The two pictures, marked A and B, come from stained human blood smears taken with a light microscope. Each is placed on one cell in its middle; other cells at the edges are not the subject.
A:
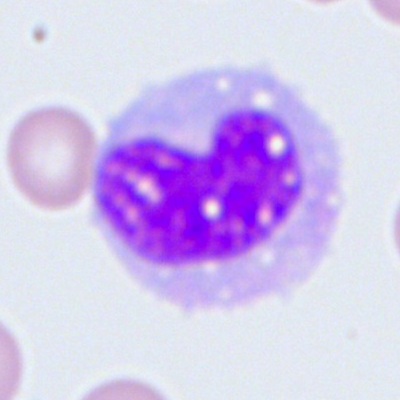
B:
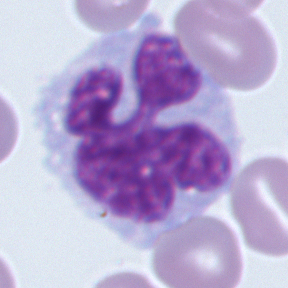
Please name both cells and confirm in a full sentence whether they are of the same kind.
Yes, the cells that both crops show at the centre are monocytes.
